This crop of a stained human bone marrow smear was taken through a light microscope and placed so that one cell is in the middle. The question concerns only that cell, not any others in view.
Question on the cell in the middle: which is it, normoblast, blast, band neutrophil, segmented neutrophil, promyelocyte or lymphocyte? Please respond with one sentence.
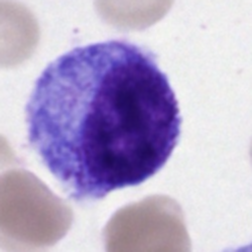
The cell nearest the centre of this crop is a promyelocyte.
